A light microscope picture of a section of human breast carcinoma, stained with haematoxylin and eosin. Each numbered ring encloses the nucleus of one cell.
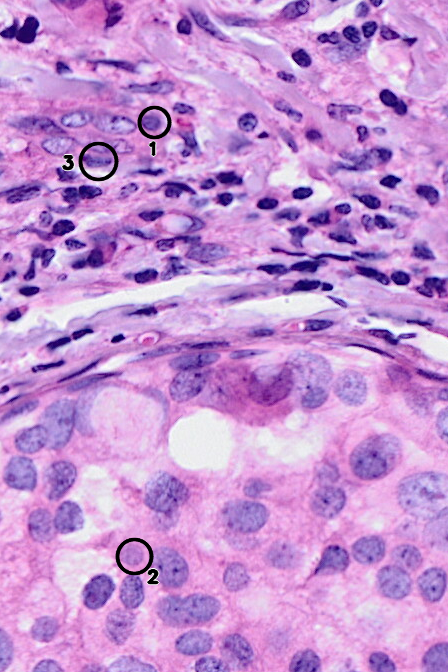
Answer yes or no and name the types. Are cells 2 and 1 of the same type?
No, cell 1 is an endothelial cell, but cell 2 is a carcinoma cell.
